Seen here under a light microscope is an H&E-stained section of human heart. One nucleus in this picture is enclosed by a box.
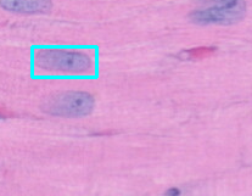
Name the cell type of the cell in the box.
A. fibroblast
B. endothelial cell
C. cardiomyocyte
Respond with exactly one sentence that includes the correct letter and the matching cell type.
Option C is right in classifying the cell in the box as a cardiomyocyte.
